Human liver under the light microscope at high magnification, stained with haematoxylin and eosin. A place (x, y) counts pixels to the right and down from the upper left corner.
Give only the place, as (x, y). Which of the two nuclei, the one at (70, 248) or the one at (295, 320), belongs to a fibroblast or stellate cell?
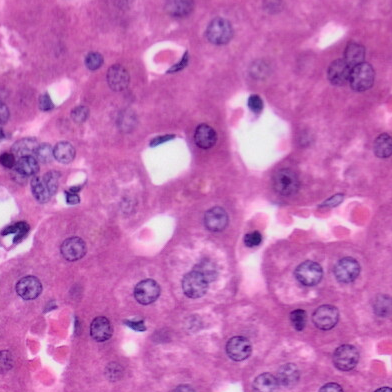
(295, 320)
